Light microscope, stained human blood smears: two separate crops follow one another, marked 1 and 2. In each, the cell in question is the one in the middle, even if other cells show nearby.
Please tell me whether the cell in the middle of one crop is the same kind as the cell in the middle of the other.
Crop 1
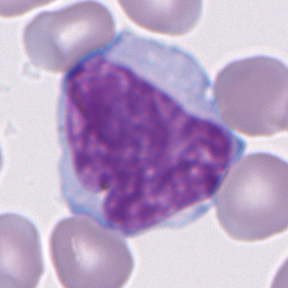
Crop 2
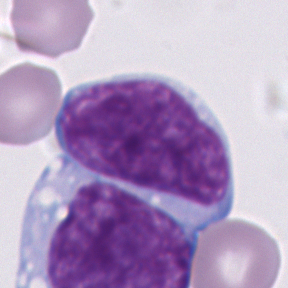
yes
